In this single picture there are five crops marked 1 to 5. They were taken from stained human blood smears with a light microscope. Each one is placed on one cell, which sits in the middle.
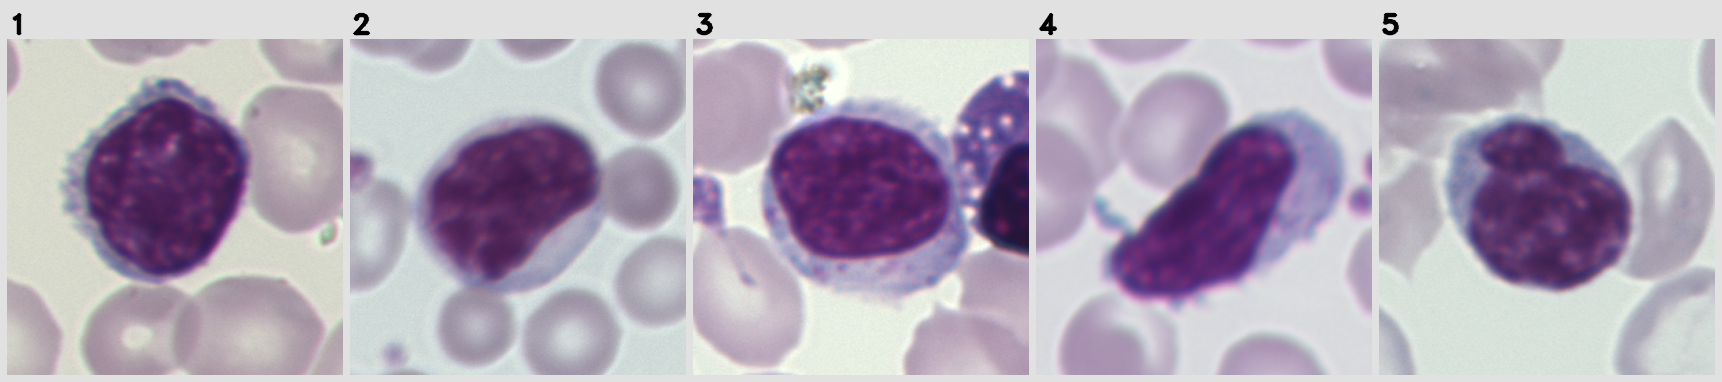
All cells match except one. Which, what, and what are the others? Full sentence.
Differing from the rest, crop 2 shows a large granular lymphocyte; the others all show typical lymphocytes.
